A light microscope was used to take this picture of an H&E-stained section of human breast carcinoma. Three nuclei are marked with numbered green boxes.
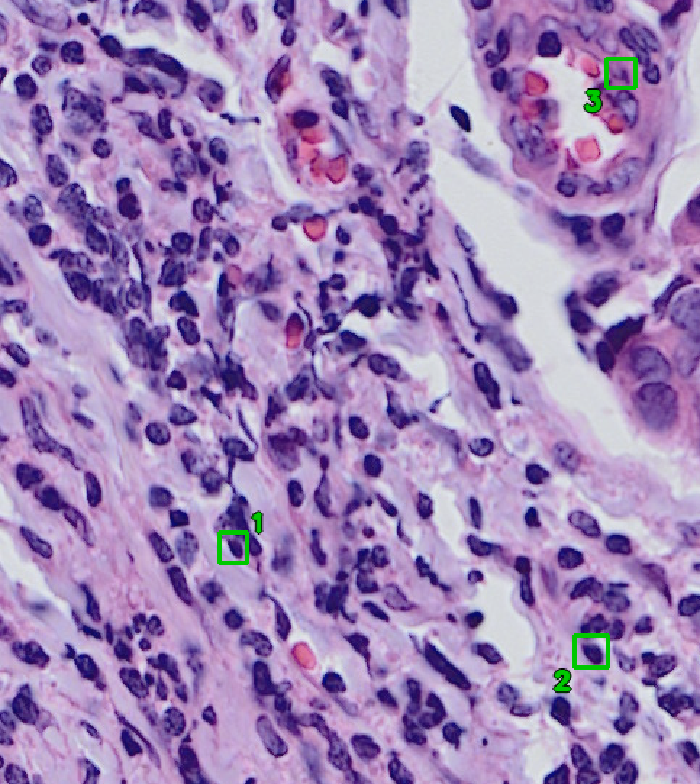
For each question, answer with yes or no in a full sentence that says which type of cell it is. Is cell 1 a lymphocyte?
Yes, the cell whose nucleus carries number 1 is a lymphocyte.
